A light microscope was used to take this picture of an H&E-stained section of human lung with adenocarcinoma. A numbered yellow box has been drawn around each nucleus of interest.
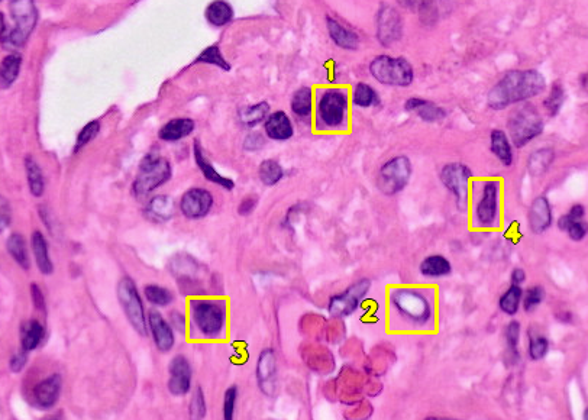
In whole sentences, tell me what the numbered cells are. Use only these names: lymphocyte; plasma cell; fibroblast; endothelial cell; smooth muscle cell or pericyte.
Cell 1 is a plasma cell, cell 2 is an endothelial cell, cell 3 is a plasma cell and cell 4 is a plasma cell.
